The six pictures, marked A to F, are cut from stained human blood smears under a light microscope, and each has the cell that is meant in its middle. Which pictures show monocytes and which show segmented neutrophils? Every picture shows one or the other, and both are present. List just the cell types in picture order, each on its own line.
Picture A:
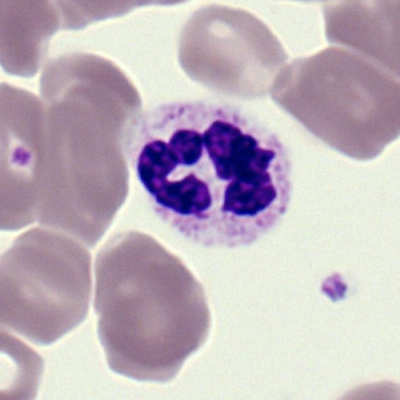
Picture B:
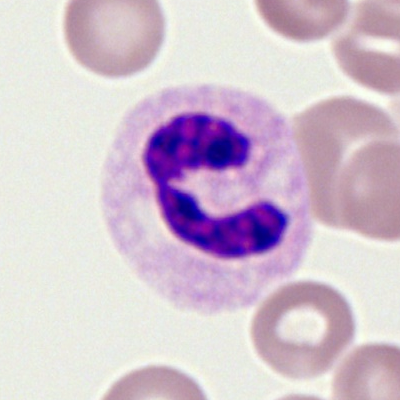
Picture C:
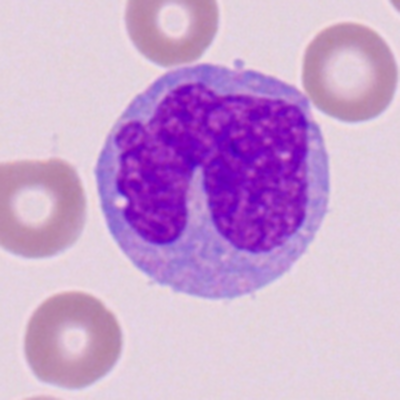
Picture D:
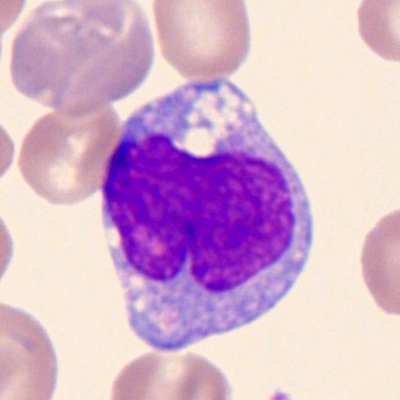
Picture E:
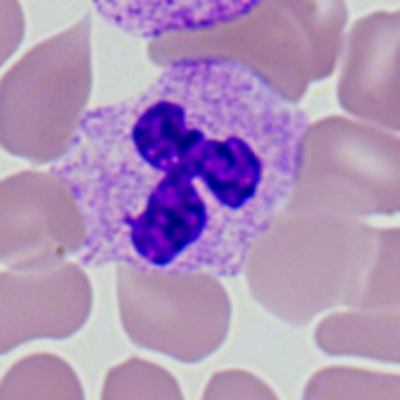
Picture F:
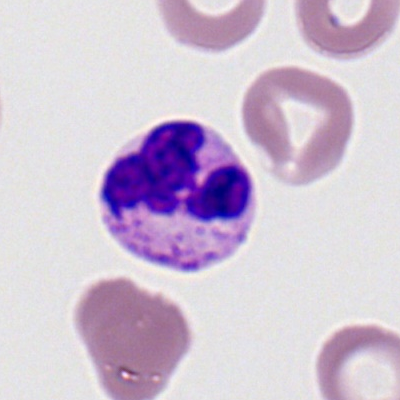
segmented neutrophil
segmented neutrophil
monocyte
monocyte
segmented neutrophil
segmented neutrophil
